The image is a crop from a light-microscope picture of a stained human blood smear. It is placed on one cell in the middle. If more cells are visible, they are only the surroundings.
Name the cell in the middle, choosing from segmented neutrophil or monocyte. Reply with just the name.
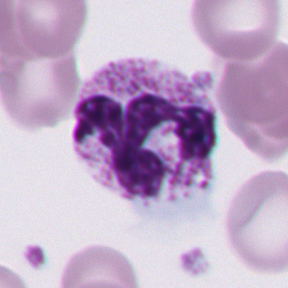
segmented neutrophil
